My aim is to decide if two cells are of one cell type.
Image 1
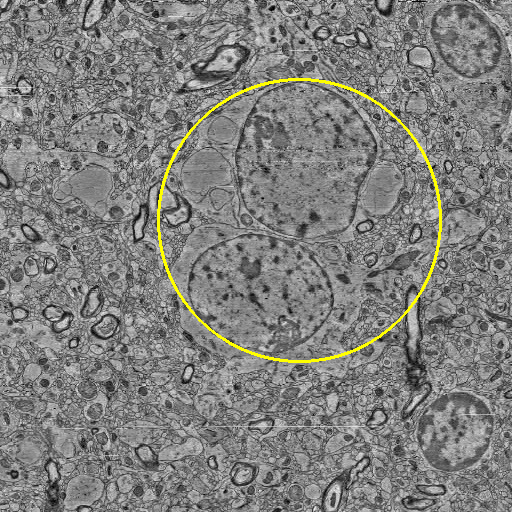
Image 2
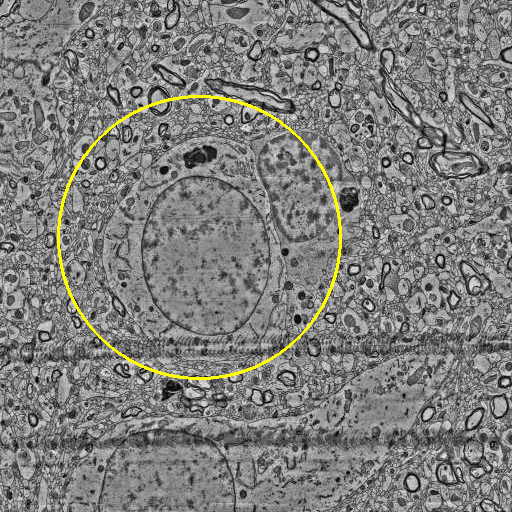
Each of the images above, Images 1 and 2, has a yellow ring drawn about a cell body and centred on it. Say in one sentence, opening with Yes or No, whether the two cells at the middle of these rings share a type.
No, in Images 1 and 2 the cells at the middle of the rings fall into two types.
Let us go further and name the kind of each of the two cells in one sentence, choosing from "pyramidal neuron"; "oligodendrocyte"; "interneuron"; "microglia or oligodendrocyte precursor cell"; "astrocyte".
The ring of the first picture is on an astrocyte, the ring of the second on a pyramidal neuron.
